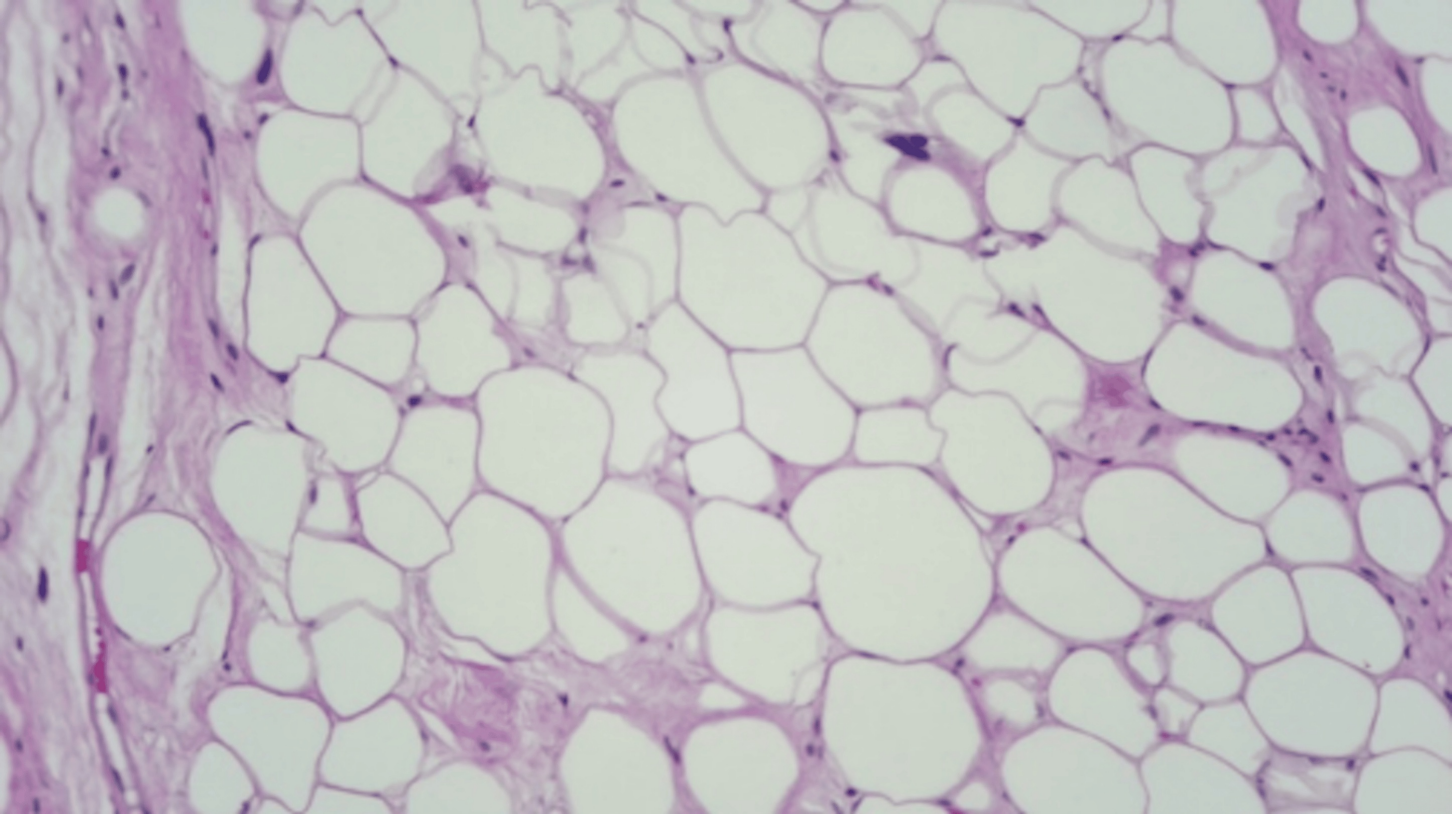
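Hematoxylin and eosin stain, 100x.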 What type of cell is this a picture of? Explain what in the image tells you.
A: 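Adipocytes of various sizes. Most of the field is empty, rounded, clear vacuoles bounded by thin pink membranes. The vacuoles vary clearly in diameter, from small to several times larger. Flattened dark nuclei sit at the edges of some vacuoles.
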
